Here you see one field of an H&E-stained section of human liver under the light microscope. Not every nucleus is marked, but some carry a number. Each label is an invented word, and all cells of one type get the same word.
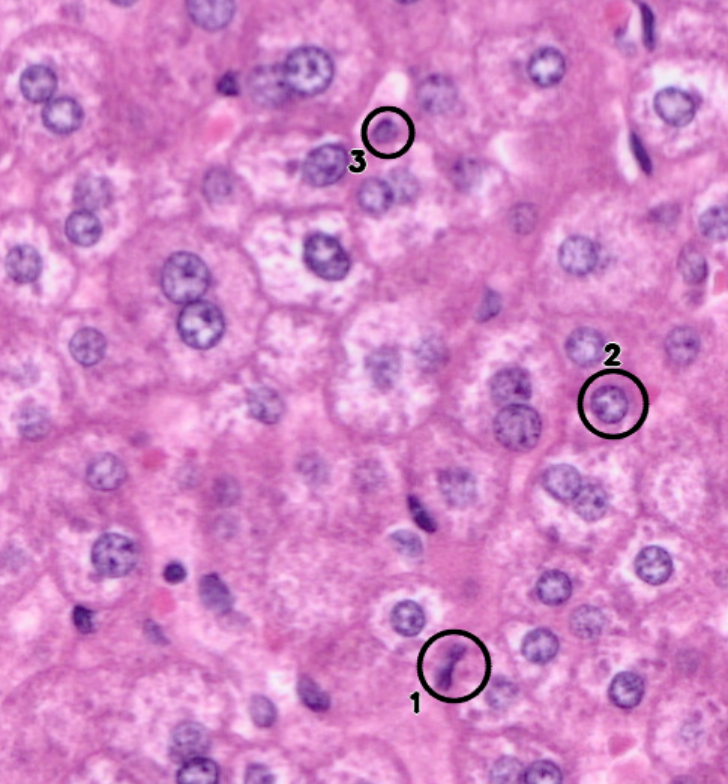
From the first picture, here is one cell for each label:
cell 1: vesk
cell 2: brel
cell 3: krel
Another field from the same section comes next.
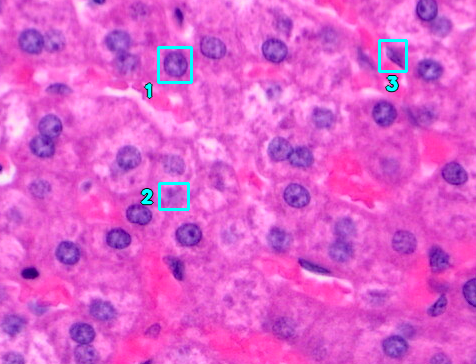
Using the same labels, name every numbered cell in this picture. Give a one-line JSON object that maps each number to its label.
{"1": "brel", "2": "brel", "3": "vesk"}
